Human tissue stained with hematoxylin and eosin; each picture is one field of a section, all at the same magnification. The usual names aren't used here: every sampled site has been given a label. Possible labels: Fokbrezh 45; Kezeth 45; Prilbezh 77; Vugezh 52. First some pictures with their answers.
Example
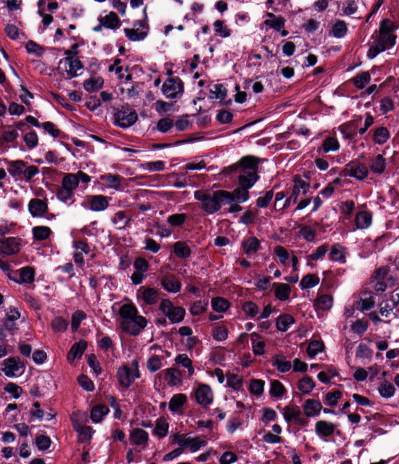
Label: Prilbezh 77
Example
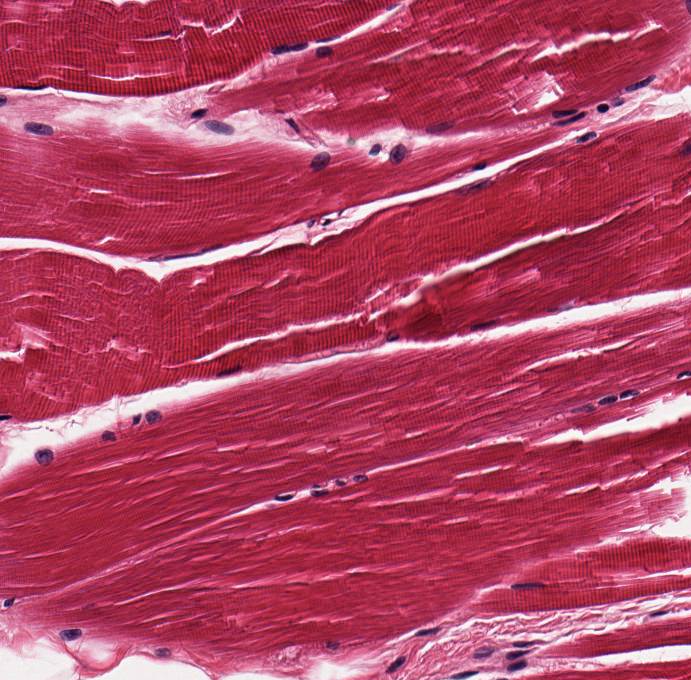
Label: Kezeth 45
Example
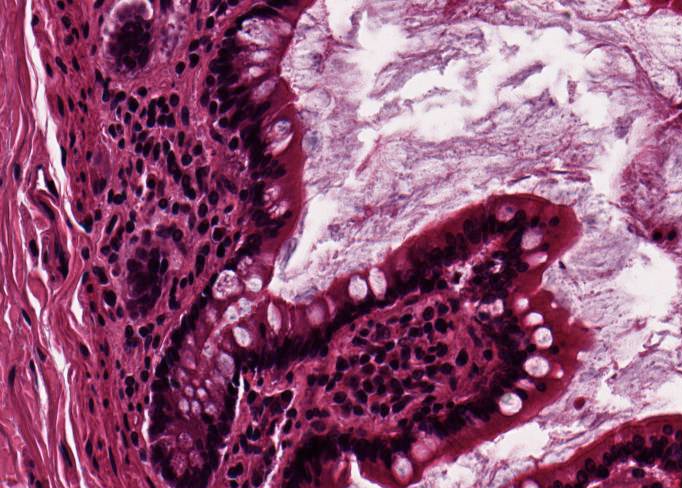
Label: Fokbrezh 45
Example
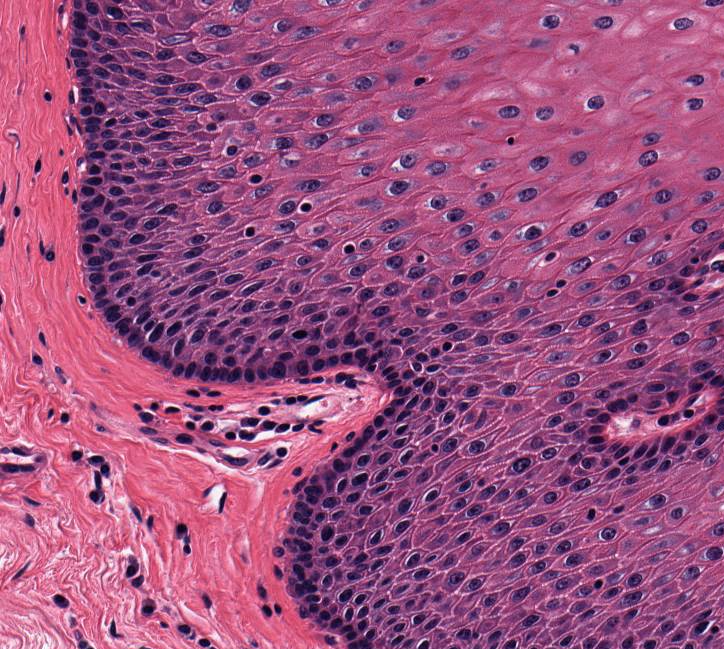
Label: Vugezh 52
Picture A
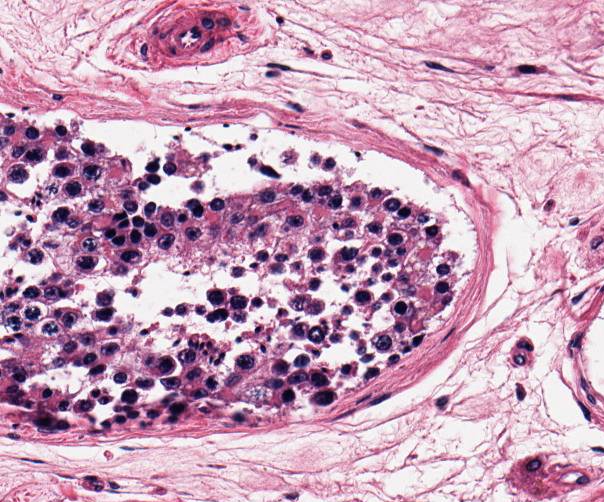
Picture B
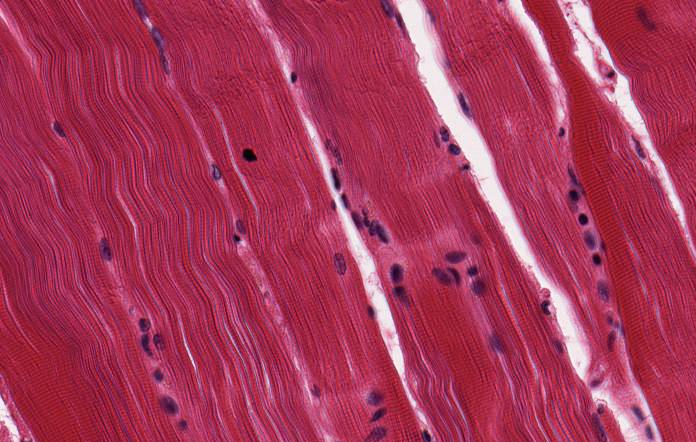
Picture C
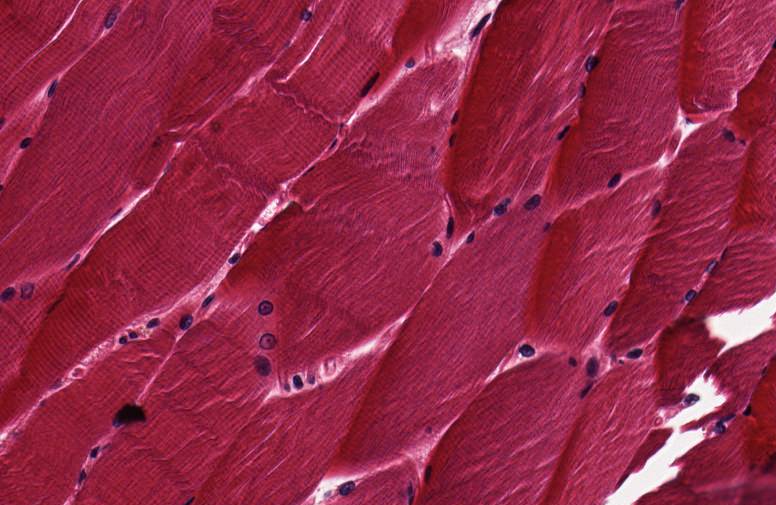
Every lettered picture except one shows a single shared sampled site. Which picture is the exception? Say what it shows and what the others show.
Exception: A, showing Prilbezh 77. Remaining pictures: Kezeth 45.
